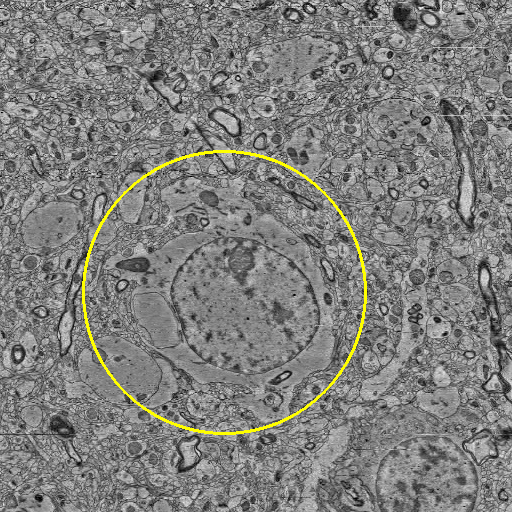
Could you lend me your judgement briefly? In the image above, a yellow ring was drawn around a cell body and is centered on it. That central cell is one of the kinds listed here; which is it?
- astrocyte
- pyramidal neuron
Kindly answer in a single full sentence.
Going by the list, an astrocyte is the kind at the ring's center in the picture.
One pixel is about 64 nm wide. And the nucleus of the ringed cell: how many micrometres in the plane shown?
In this plane the ringed cell's nucleus is roughly 9 micrometres across.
